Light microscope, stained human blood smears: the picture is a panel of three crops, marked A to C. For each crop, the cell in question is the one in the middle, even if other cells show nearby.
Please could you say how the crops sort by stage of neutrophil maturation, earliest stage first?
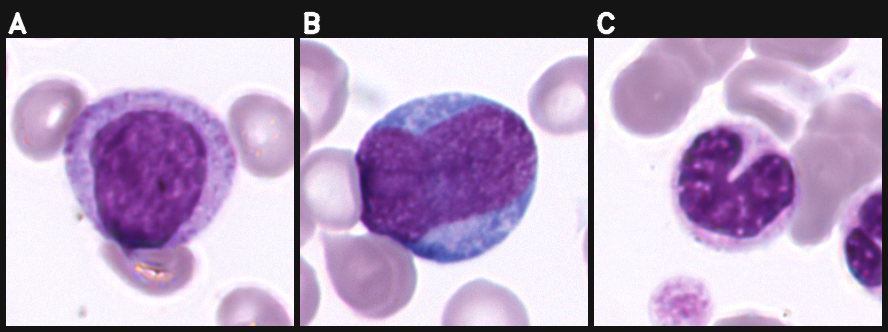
B, A, C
